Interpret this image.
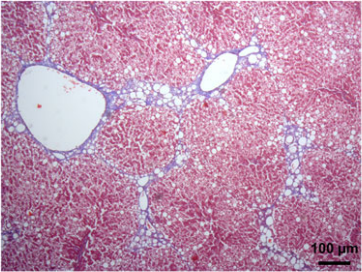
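This is liver tissue in which the red-stained plates of hepatocytes are cut up by blue-purple bands of fibrous tissue. The bands run from vessel to vessel and join up, so the parenchyma is divided into rounded islands. Along the bands and at the edges of the islands many hepatocytes hold clear, round, empty-looking vacuoles of varying size. A large, widely open vessel lies at the left, with a thin blue rim and a few red cells inside. Compared with normal liver, the orderly arrangement of plates around central veins is lost.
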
